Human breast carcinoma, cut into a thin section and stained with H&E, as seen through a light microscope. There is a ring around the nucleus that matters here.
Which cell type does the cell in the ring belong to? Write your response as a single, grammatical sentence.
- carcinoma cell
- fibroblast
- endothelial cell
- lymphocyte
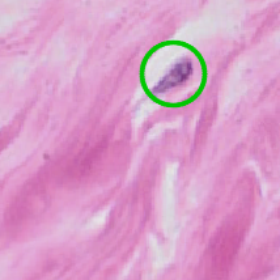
Just put down that the cell in the ring is a fibroblast.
